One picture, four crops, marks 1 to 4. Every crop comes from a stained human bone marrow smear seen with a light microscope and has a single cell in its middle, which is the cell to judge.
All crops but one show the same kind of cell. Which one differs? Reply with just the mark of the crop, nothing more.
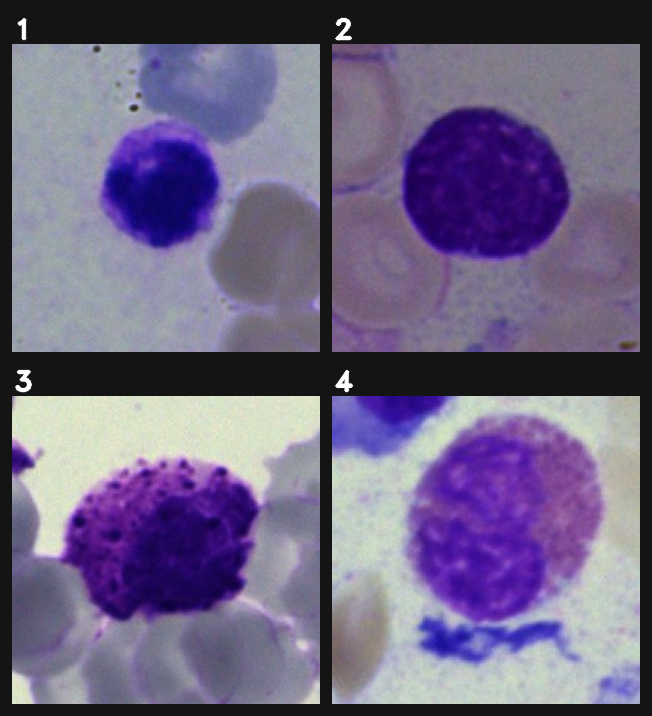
2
